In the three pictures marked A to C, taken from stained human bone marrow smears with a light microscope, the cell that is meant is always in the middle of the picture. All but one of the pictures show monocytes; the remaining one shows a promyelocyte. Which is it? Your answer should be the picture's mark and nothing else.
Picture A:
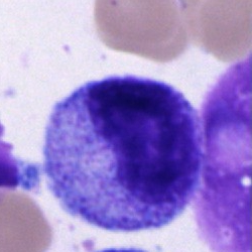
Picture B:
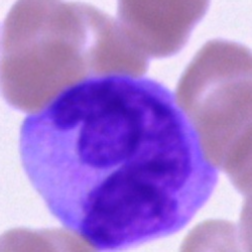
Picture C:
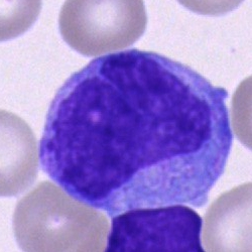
A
